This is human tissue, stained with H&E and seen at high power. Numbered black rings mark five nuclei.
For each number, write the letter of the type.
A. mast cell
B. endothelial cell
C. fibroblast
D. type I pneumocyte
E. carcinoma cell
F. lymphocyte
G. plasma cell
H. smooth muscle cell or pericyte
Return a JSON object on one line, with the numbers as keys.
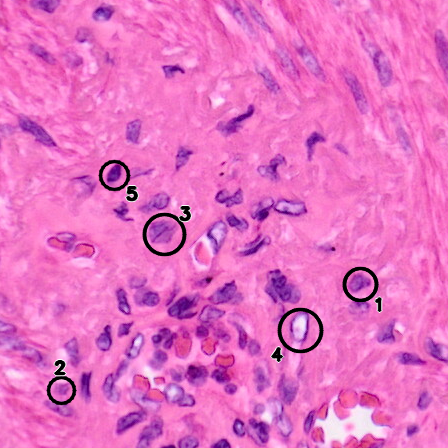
{"1": "A", "2": "H", "3": "C", "4": "B", "5": "A"}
